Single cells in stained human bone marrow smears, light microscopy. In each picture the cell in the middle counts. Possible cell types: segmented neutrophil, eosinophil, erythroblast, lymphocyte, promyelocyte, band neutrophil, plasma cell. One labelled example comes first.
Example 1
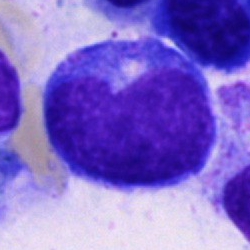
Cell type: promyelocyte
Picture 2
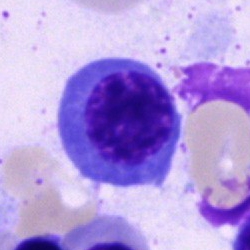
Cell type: erythroblast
